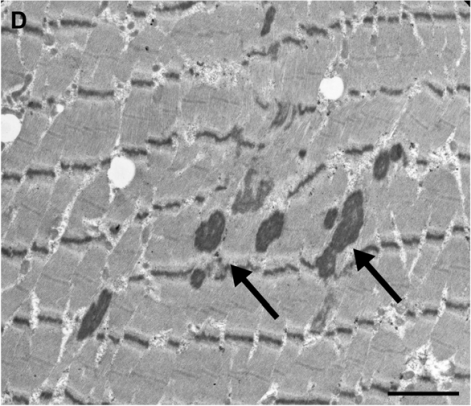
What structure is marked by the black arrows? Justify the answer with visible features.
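The arrows point to dark oval bodies among the myofibrils. The bodies are denser than the surrounding sarcomeres and lie near the dark Z-lines.
Conclusion: electron-dense nemaline rods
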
